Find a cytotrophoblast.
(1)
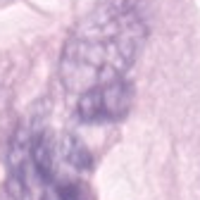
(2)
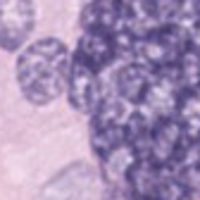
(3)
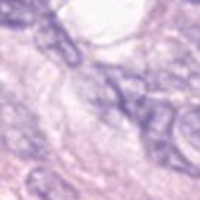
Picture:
1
